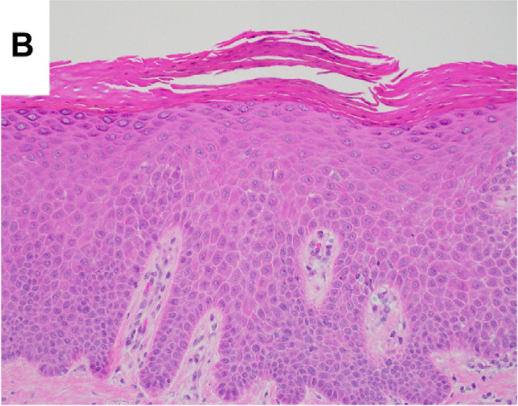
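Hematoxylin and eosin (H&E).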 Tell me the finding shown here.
Parakeratosis.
